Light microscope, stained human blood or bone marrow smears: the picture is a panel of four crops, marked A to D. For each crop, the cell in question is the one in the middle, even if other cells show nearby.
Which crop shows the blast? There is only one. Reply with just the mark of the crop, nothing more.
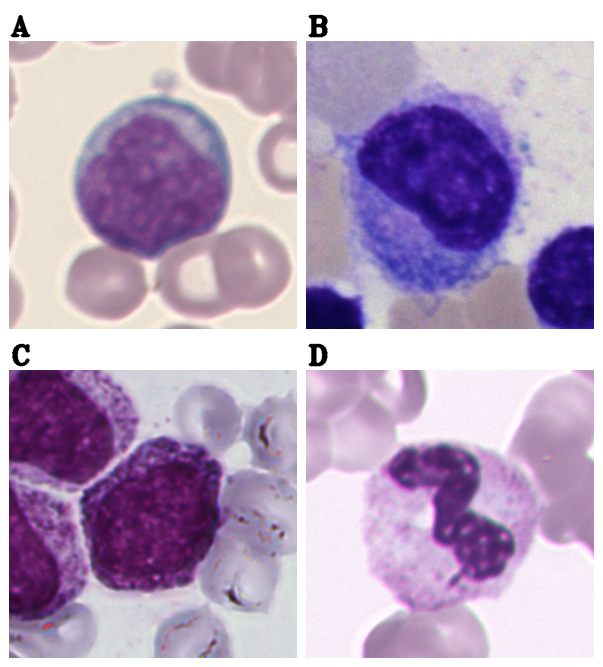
A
